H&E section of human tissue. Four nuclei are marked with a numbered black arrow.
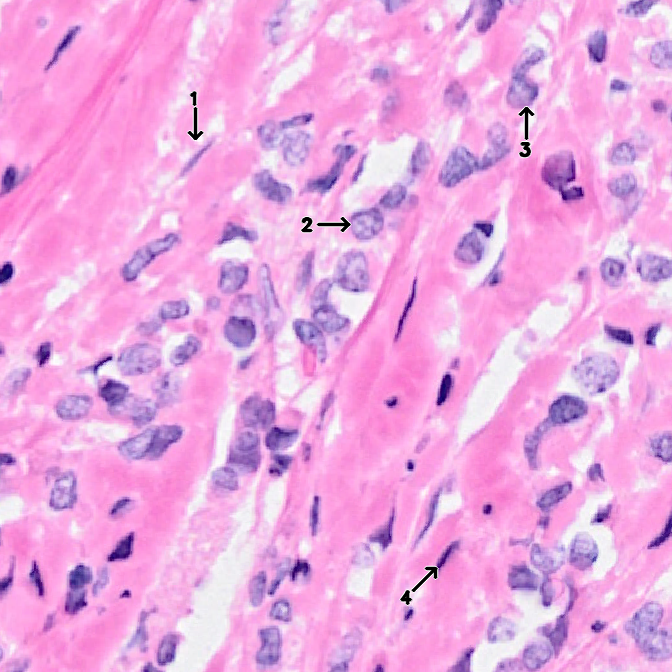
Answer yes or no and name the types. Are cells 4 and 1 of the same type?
Yes, in this section cells 4 and 1 are both fibroblasts.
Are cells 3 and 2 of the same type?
Yes, each of the two cells, 3 and 2, is among the carcinoma cells.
